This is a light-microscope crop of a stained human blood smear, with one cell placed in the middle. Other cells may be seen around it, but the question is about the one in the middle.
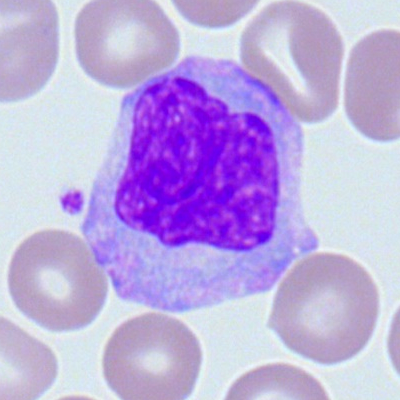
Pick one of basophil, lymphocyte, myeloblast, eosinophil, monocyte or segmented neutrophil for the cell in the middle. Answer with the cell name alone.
monocyte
